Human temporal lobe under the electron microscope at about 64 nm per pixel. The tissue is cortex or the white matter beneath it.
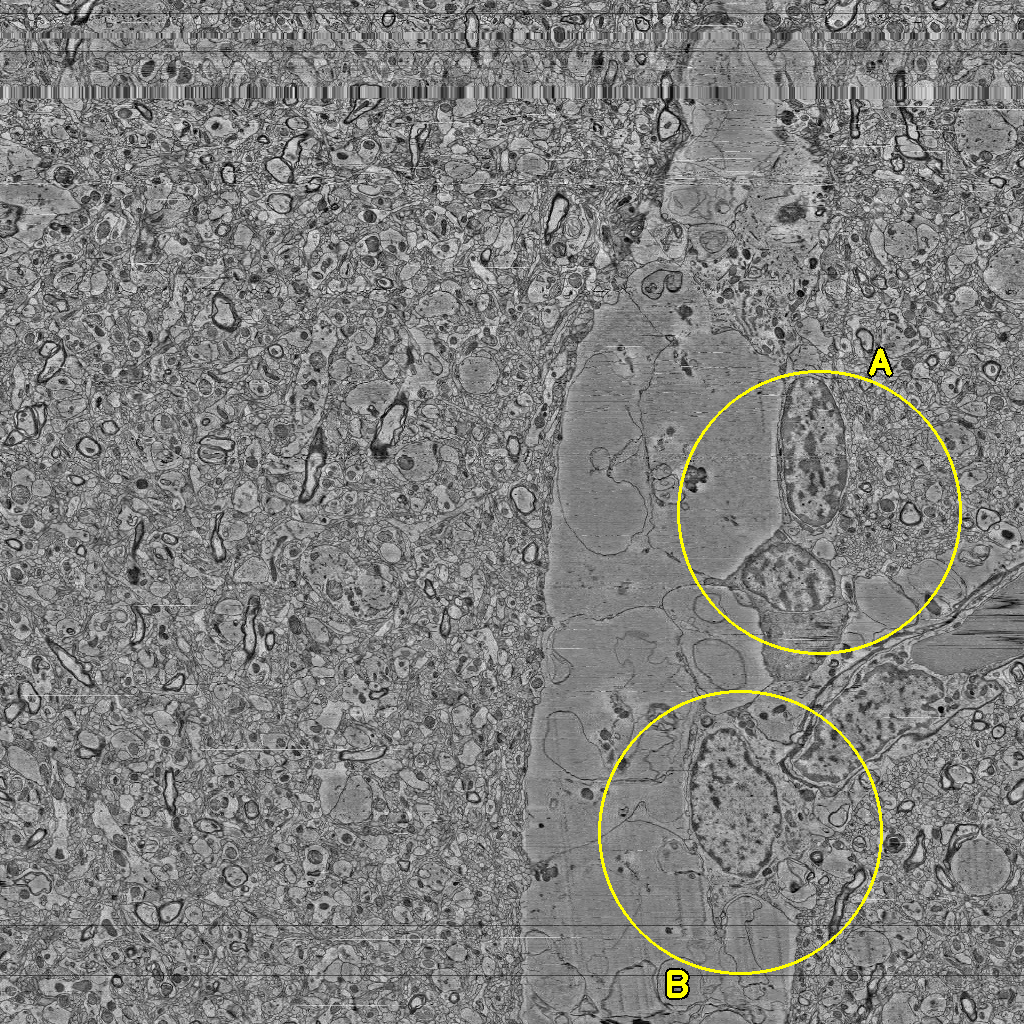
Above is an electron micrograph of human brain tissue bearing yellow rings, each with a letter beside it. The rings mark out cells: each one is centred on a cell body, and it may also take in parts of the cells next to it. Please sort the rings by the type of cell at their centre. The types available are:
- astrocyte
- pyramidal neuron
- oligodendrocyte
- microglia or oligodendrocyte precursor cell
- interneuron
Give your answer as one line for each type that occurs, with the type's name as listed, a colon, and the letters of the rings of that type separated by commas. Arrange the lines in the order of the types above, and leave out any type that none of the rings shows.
microglia or oligodendrocyte precursor cell: A, B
